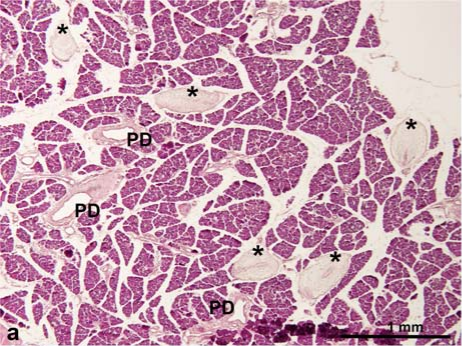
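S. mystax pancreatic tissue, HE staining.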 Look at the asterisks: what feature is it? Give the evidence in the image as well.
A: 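Pacinian corpuscles. The asterisks lie beside pale oval bodies scattered among the purple lobules. The oval bodies are far paler than the surrounding glandular tissue. Several such bodies lie in the spaces between lobules.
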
